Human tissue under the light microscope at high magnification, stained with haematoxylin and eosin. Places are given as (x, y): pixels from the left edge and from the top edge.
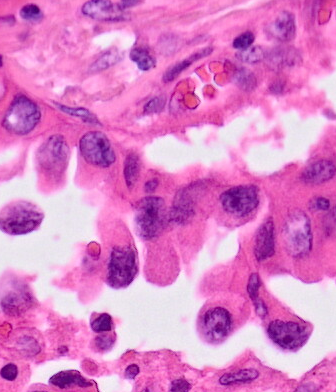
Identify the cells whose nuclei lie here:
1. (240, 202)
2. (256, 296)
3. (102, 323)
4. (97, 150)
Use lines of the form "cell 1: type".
cell 1: carcinoma cell
cell 2: carcinoma cell
cell 3: lymphocyte
cell 4: carcinoma cell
